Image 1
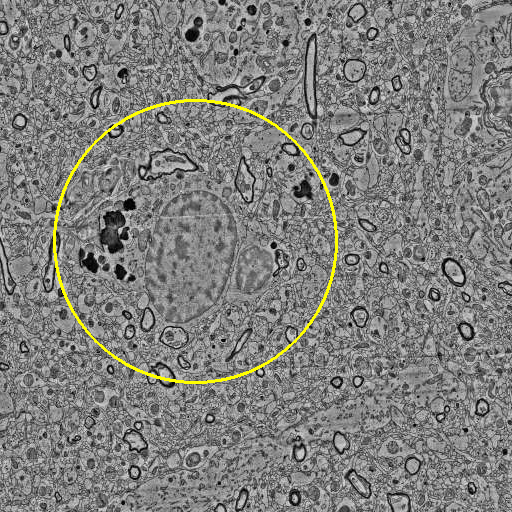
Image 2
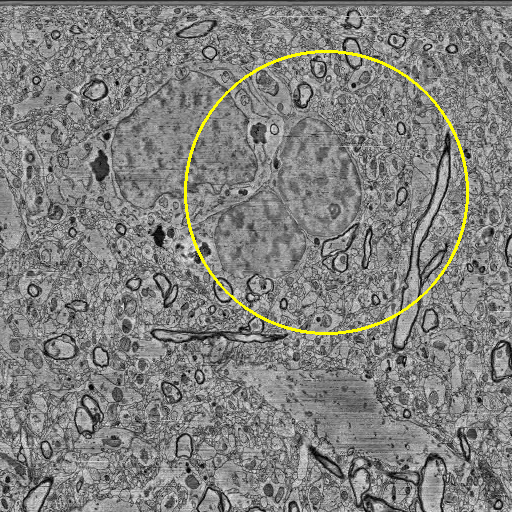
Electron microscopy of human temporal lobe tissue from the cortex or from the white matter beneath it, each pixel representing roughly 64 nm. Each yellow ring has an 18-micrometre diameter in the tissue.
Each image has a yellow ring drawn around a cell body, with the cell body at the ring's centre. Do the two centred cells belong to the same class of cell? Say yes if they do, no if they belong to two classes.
yes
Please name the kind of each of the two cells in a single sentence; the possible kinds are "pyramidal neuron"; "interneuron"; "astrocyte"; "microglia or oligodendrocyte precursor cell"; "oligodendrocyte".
The cell in the first picture is an oligodendrocyte, and so is the one in the second.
